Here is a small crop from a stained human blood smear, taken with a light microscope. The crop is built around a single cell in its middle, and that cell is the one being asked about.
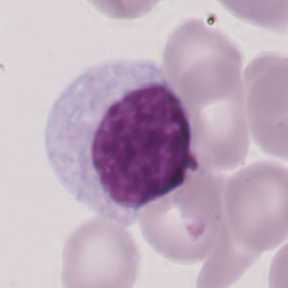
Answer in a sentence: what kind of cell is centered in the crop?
The middle of this crop is occupied by a metamyelocyte.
